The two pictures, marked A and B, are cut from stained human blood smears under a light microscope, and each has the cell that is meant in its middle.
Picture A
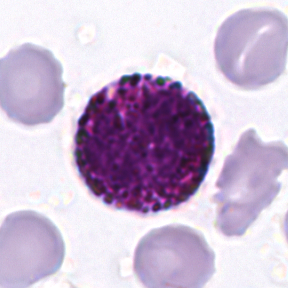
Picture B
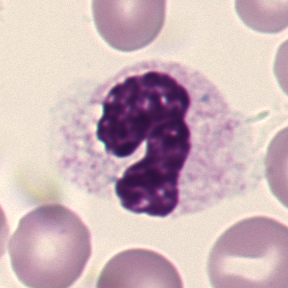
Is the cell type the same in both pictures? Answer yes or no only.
no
